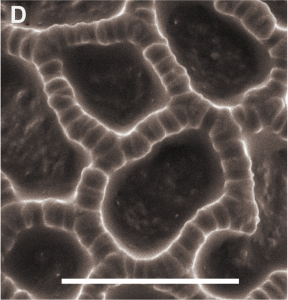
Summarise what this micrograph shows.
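This is a close scanning electron view of a pollen grain surface, showing a net of raised ridges around large sunken spaces. The ridges are continuous and made of closely joined bead-like units, giving them a segmented outline. The enclosed spaces are broad and rounded to polygonal, and their floors look finely roughened. Where ridges meet they form broadened junctions.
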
